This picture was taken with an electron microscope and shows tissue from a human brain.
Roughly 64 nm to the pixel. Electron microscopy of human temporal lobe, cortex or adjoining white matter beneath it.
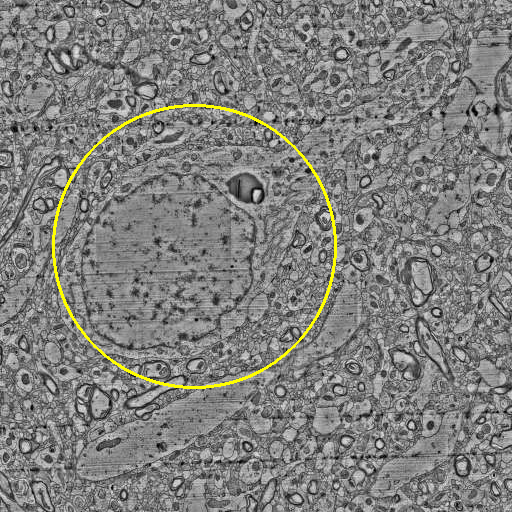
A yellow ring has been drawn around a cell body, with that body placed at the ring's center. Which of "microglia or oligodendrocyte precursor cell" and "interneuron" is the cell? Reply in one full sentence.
In this picture, an interneuron is the cell at the center of the yellow ring.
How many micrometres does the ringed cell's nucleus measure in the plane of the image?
The nucleus is approximately 12 micrometers long by 11 micrometers wide in this plane.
